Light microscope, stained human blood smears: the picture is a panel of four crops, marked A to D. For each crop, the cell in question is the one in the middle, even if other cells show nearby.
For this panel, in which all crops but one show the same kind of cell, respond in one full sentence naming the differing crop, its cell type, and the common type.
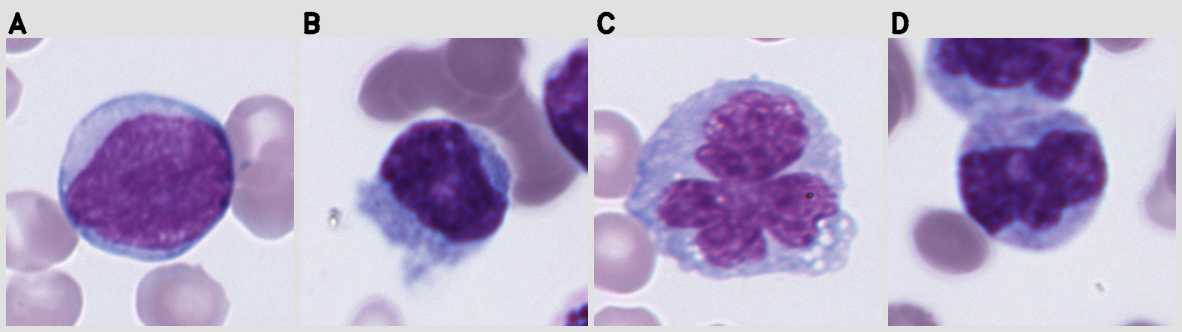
Crop A is the exception here: it is a myeloblast, and the others are monocytes.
